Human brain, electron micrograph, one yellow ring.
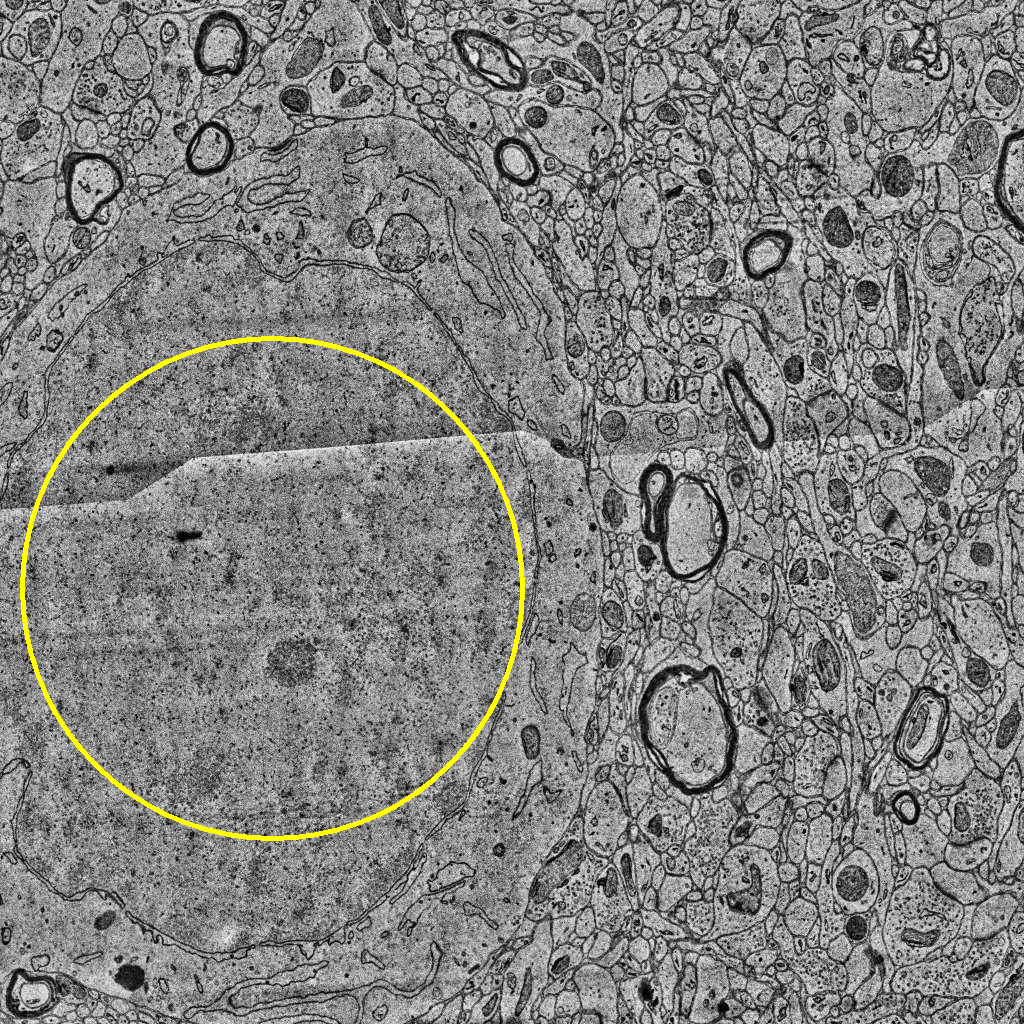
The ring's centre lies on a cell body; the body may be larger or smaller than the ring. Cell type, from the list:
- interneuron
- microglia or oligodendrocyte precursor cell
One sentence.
The yellow ring's centre lies on an interneuron.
